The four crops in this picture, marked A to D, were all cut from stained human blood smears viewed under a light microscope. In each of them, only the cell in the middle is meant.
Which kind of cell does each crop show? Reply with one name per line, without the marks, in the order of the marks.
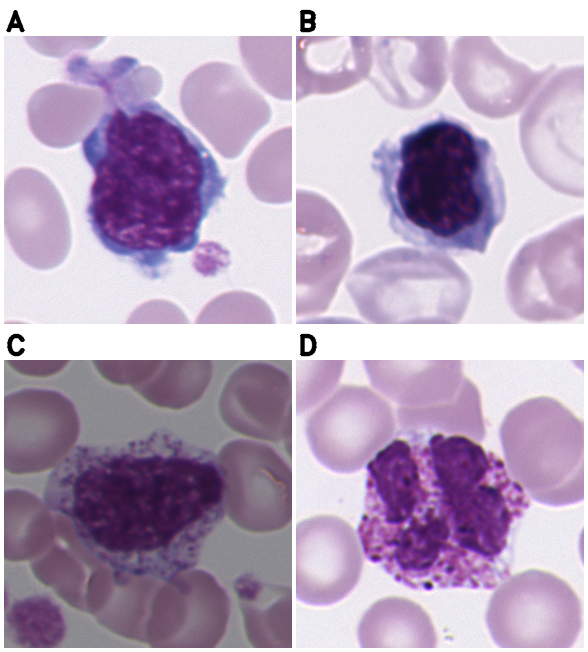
typical lymphocyte
normoblast
myelocyte
basophil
